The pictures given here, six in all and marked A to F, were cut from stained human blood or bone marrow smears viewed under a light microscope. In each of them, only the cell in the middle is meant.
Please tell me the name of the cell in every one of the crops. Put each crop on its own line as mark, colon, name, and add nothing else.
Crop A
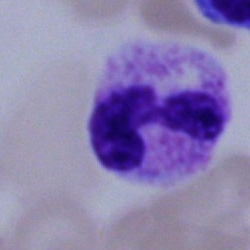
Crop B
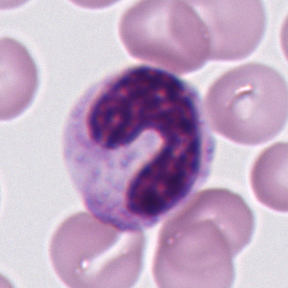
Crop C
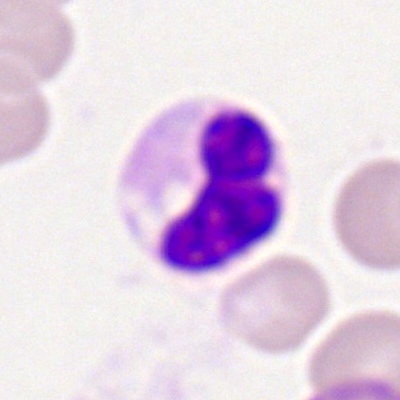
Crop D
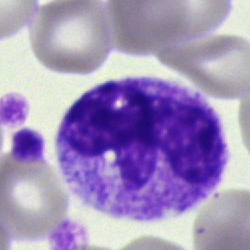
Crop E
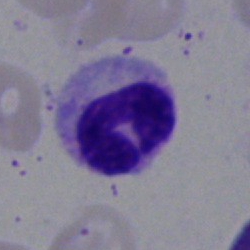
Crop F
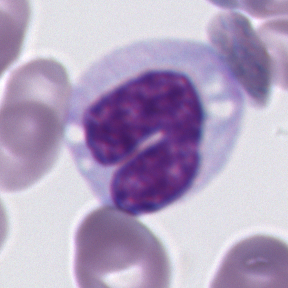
A: segmented neutrophil
B: band neutrophil
C: segmented neutrophil
D: segmented neutrophil
E: segmented neutrophil
F: band neutrophil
